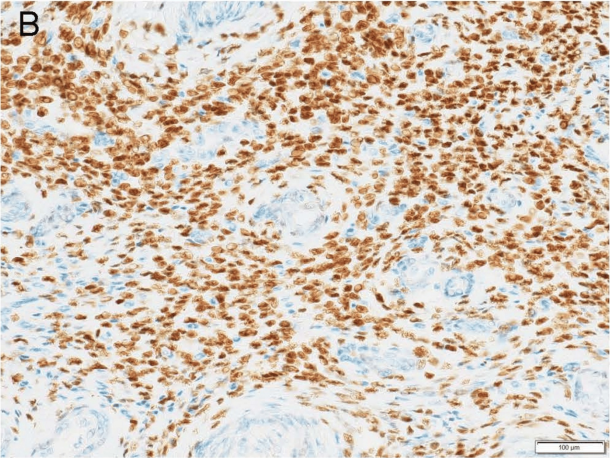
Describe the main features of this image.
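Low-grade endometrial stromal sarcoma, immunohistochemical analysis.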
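Neoplastic cells packed in dense sheets show strong brown staining of their oval to spindle-shaped nuclei. Small vessels with concentric walls scattered among them stay pale with blue nuclei.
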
